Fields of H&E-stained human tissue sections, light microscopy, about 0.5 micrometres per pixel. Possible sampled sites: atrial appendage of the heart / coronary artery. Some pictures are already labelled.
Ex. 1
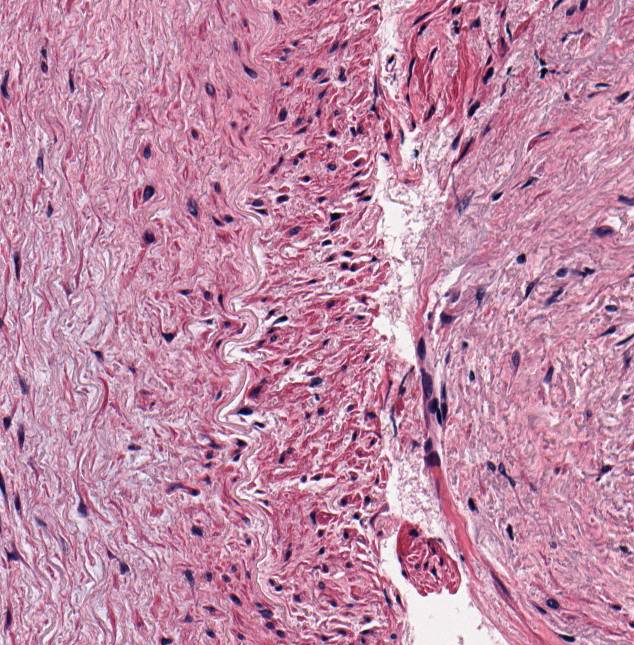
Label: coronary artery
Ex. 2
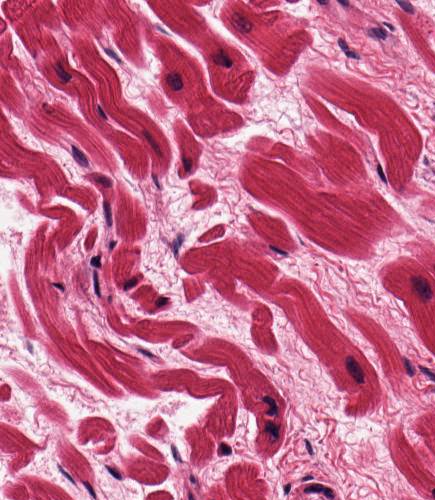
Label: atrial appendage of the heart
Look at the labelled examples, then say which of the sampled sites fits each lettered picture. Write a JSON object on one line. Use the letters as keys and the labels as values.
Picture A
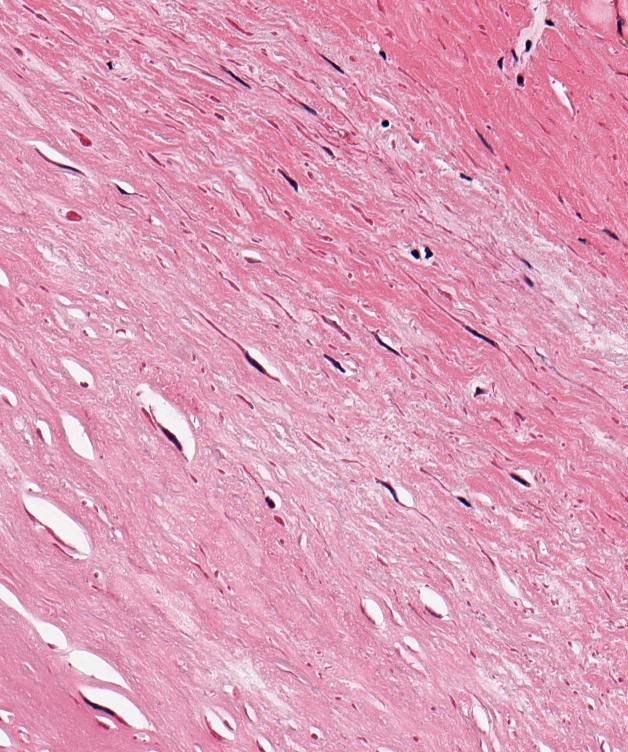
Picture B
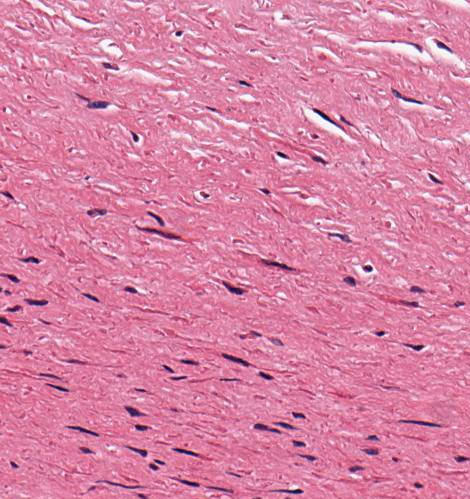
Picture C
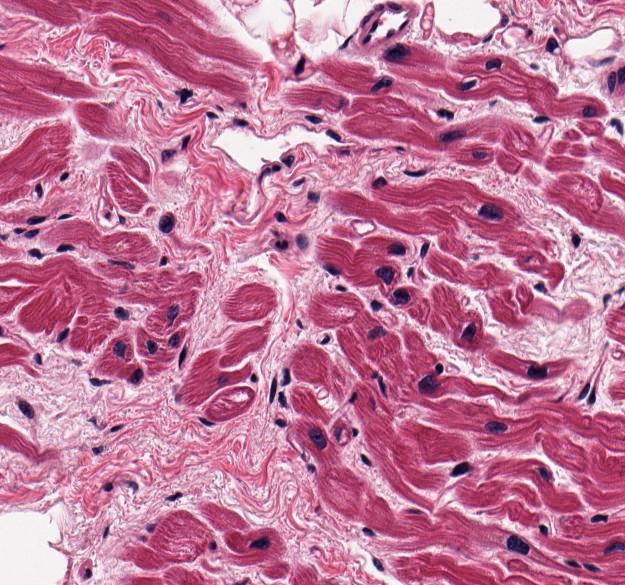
{"A": "coronary artery", "B": "coronary artery", "C": "atrial appendage of the heart"}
